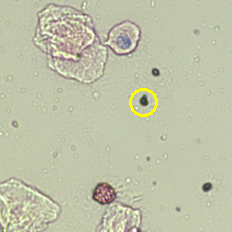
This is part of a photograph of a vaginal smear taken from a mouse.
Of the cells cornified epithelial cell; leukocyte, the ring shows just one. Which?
The ring shows a leukocyte.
